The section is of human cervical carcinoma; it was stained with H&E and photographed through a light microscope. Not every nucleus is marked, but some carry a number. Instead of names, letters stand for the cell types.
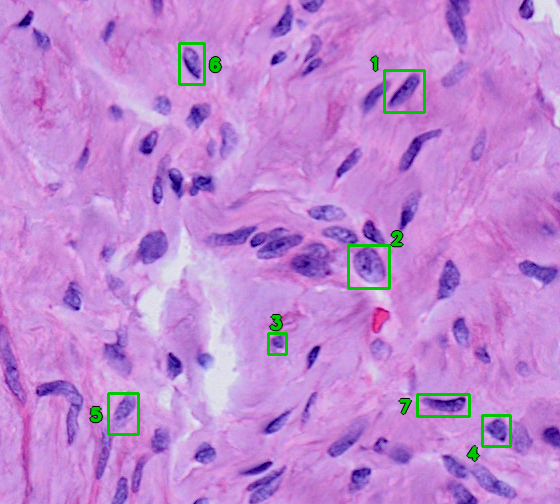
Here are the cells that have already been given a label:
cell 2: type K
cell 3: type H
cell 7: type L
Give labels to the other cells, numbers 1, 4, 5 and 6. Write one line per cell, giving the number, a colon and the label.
1: type L
4: type L
5: type H
6: type L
